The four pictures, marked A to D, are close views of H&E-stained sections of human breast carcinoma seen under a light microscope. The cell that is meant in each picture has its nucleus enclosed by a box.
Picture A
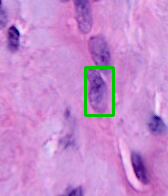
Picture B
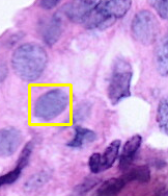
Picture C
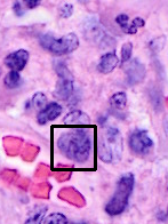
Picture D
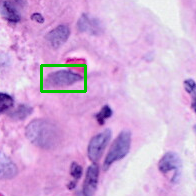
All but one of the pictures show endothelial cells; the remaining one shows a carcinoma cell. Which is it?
B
